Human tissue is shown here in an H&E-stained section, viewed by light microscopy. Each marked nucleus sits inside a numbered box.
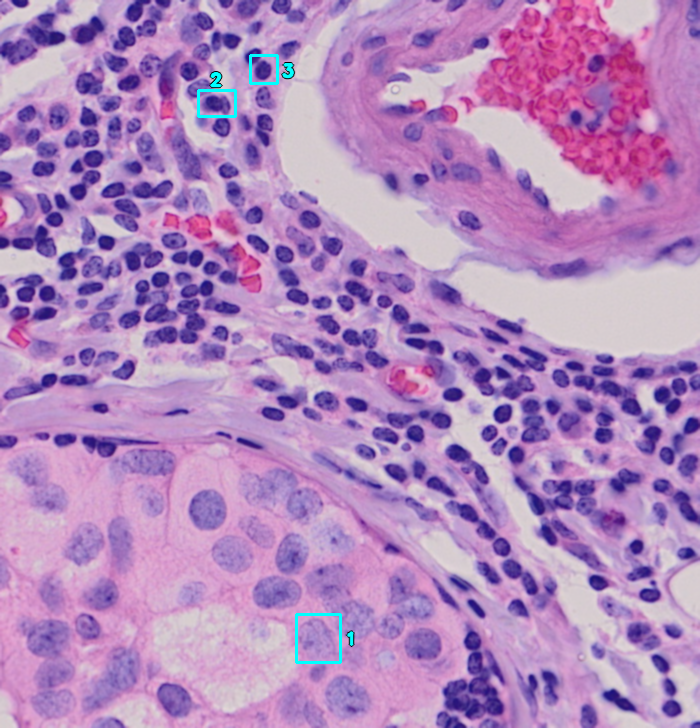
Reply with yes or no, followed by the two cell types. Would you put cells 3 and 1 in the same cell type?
No, while cell 3 is a lymphocyte, cell 1 is a carcinoma cell.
